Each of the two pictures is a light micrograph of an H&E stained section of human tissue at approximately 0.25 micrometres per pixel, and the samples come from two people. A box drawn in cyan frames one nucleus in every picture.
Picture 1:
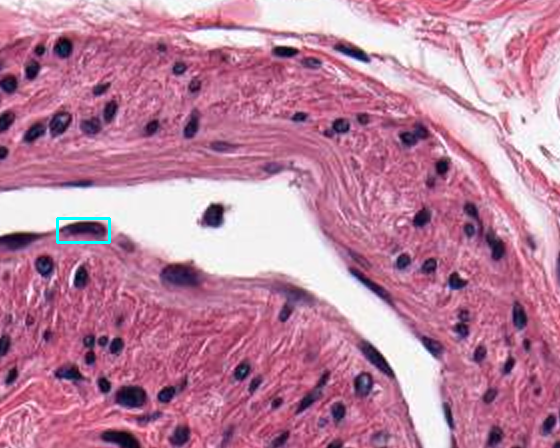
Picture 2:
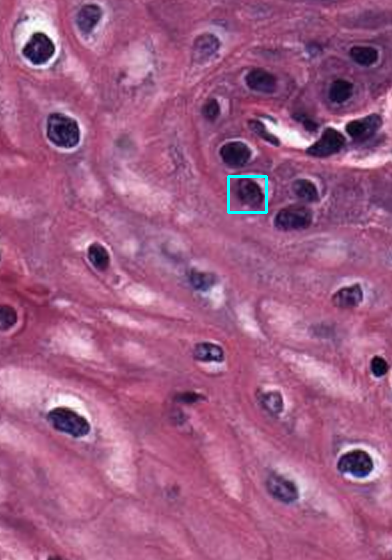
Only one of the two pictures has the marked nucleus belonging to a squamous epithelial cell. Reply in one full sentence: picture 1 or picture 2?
Although both pictures carry a marked nucleus, only in picture 2 does it belong to a squamous epithelial cell.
